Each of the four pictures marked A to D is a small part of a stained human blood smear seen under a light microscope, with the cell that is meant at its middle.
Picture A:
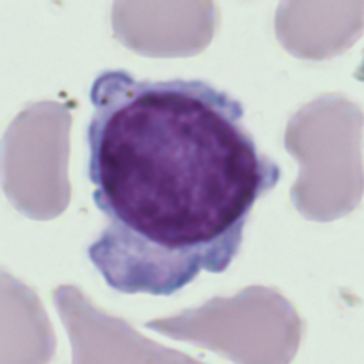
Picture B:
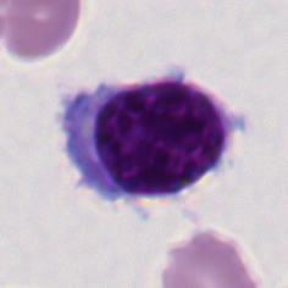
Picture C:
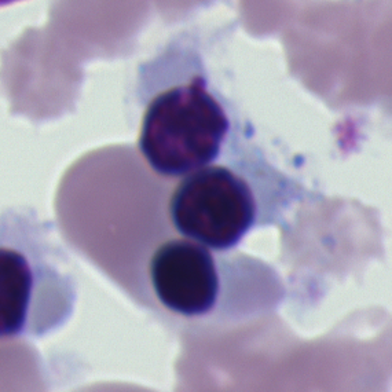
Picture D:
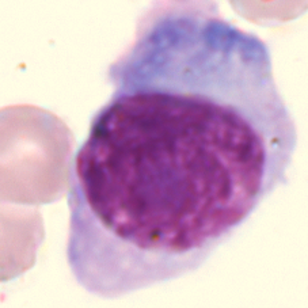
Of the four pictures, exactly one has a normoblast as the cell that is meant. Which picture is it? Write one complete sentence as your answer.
Picture C is the one that shows the normoblast.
